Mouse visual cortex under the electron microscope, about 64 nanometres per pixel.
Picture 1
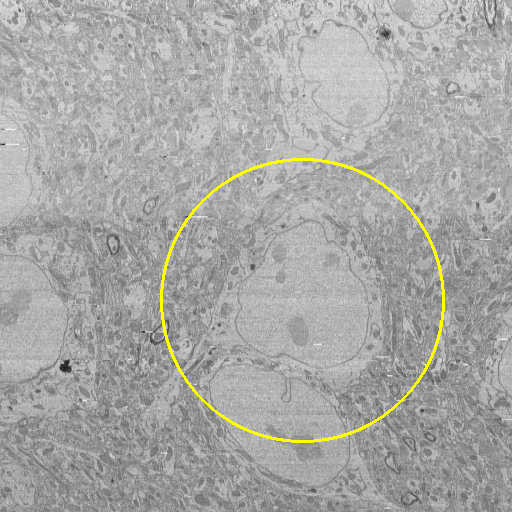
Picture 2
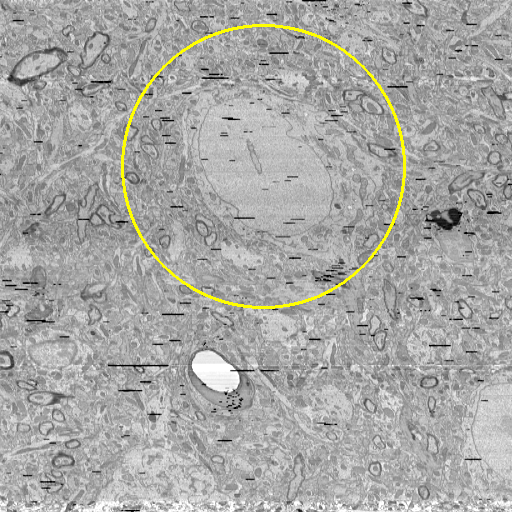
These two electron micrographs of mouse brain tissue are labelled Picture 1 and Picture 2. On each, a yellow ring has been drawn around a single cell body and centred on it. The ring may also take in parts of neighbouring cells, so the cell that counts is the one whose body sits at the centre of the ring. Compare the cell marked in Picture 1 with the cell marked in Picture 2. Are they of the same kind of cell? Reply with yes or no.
yes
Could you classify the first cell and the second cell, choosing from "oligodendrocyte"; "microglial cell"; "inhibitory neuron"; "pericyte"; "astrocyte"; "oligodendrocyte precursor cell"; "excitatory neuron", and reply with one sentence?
In the first picture and in the second, the ring is centred on an excitatory neuron.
